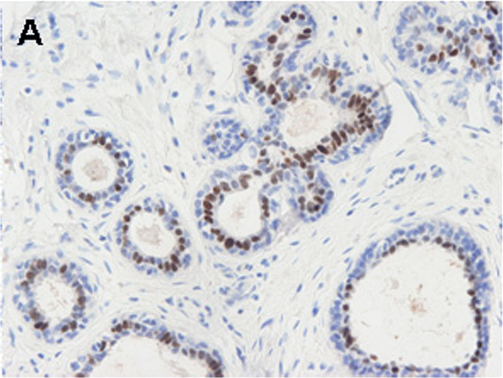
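Several round and branching breast ducts lie in a loose, pale fibrous stroma. Each duct is lined by a two-layered epithelium around an open lumen, some of which hold faint pink secretion. The nuclei of the inner, luminal layer are mostly stained brown, while the nuclei of the outer layer are mostly blue. The scattered spindle-shaped nuclei of the stroma are blue.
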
